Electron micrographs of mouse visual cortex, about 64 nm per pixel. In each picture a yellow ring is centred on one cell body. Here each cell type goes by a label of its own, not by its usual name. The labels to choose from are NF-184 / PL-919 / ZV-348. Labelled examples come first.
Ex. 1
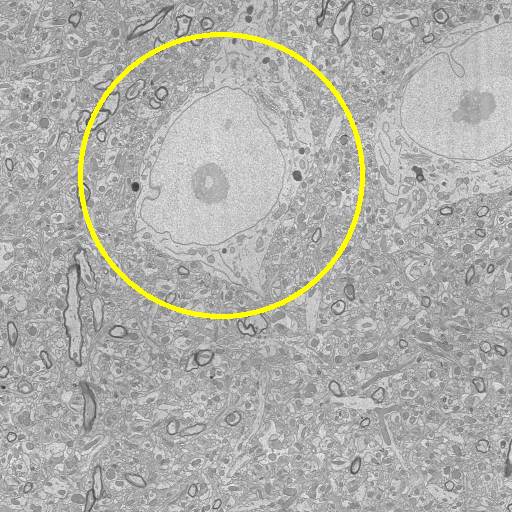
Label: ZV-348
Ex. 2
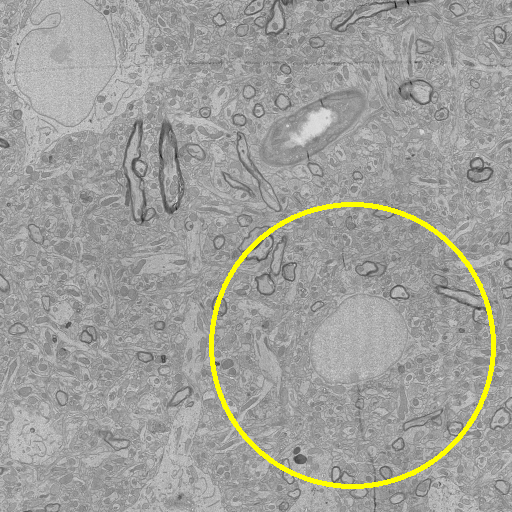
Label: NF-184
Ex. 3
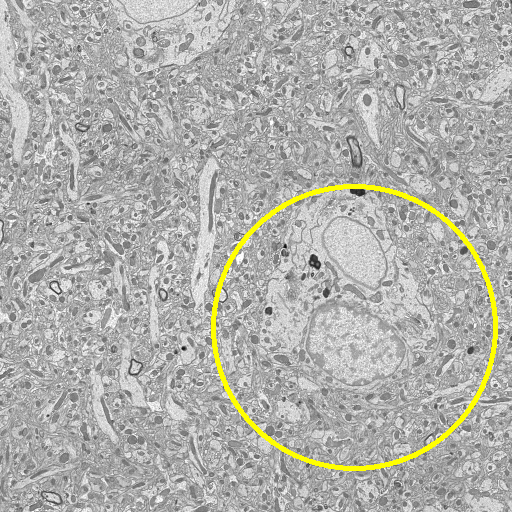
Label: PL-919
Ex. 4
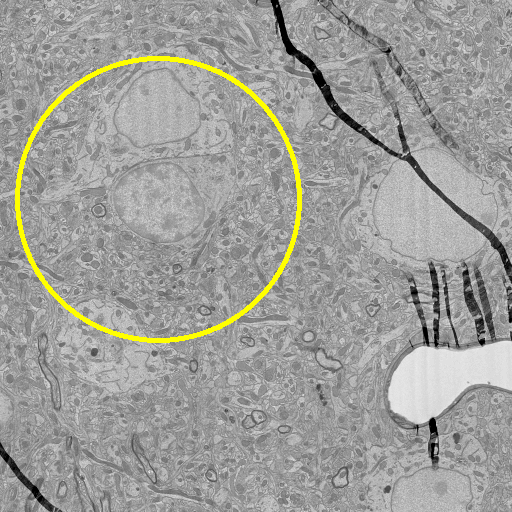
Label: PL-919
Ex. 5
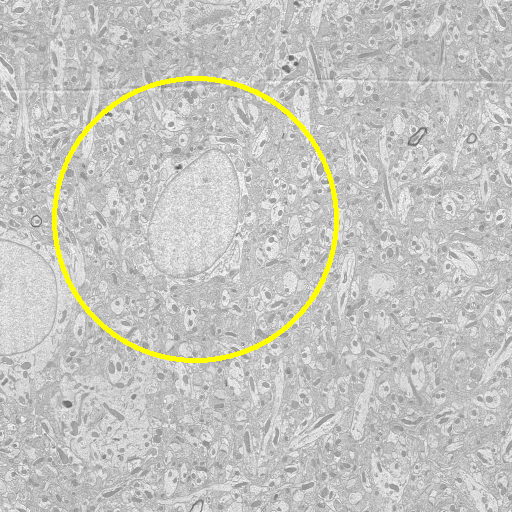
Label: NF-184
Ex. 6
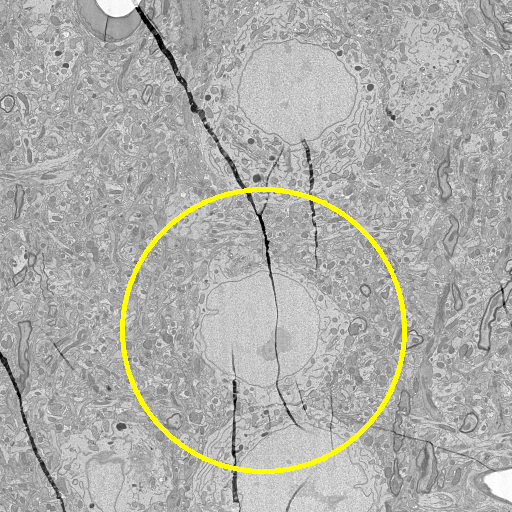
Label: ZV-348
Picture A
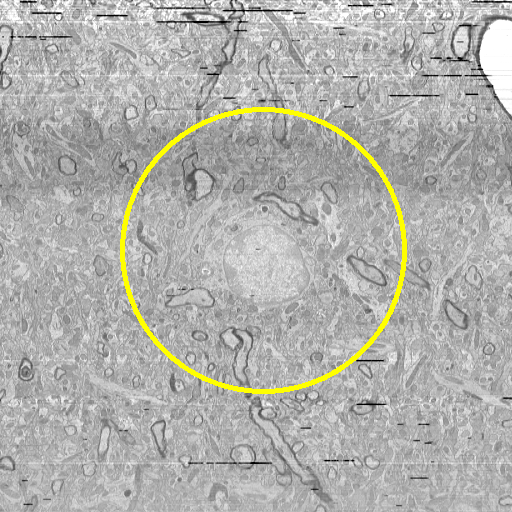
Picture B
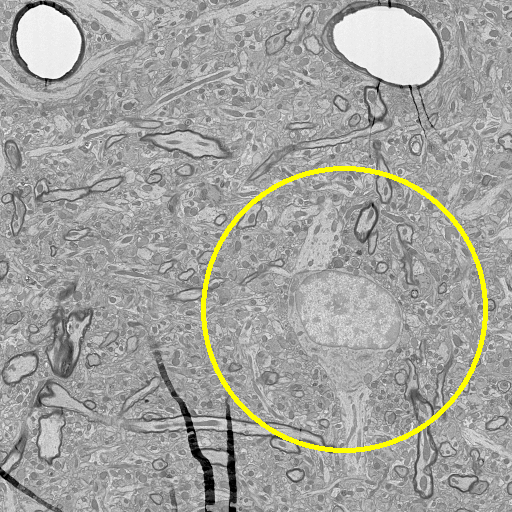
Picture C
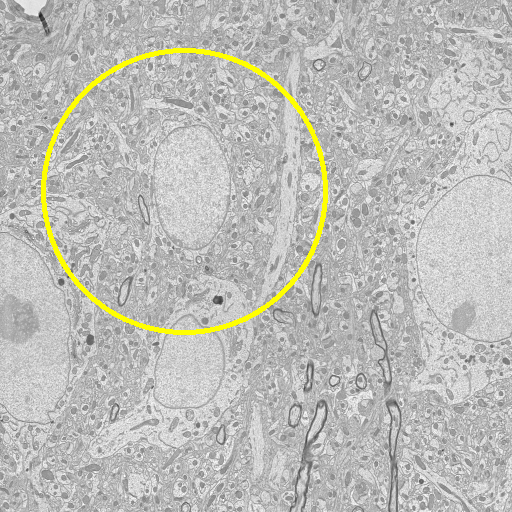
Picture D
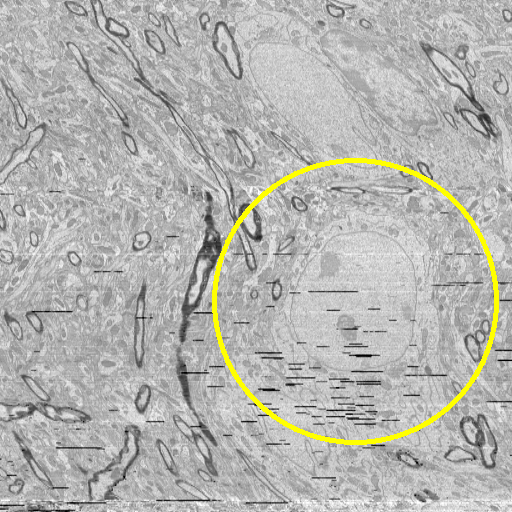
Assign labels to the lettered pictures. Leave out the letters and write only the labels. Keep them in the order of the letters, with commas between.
PL-919, PL-919, NF-184, ZV-348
